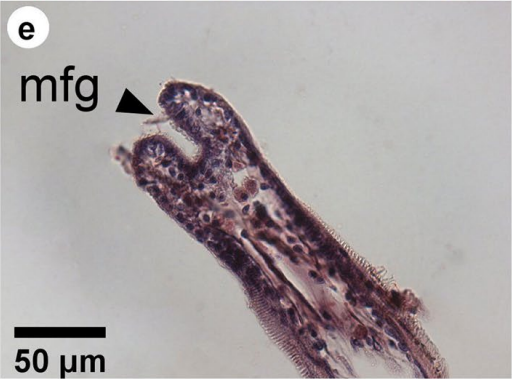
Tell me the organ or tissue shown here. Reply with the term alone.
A: Gill filament.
